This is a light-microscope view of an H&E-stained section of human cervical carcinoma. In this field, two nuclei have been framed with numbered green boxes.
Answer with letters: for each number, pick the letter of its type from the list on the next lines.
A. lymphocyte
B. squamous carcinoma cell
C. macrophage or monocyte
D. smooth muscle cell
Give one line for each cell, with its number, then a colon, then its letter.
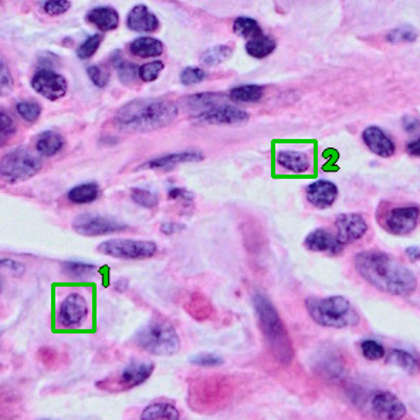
1: C
2: A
